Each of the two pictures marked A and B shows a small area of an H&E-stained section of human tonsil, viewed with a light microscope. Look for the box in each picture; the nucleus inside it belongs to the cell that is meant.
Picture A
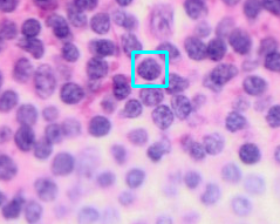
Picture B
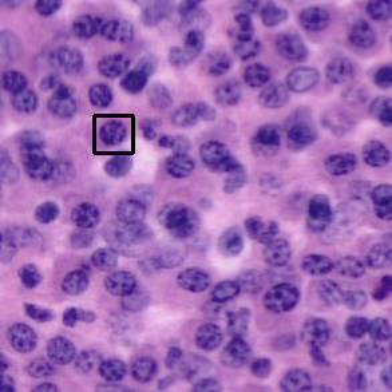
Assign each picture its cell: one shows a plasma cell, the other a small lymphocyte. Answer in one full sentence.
The cell in picture A is a small lymphocyte, and the one in picture B is a plasma cell.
